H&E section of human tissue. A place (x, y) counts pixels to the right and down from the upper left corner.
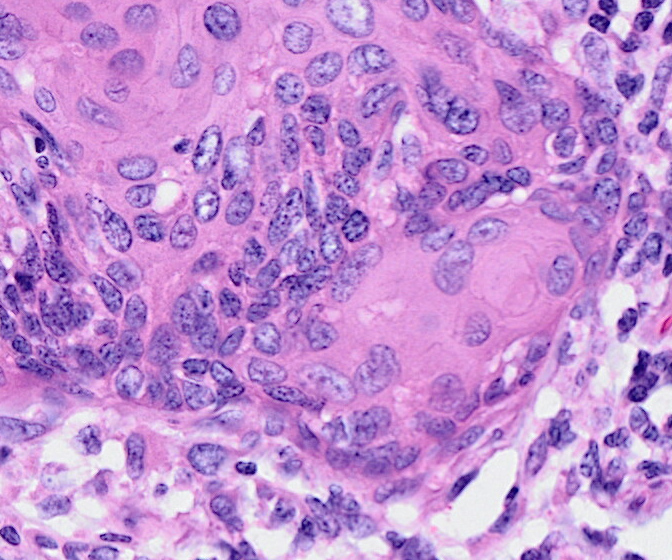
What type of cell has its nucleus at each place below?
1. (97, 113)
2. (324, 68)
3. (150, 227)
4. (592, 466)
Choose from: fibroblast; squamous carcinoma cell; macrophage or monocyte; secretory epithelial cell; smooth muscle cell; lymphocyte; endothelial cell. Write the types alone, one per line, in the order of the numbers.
squamous carcinoma cell
squamous carcinoma cell
squamous carcinoma cell
lymphocyte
